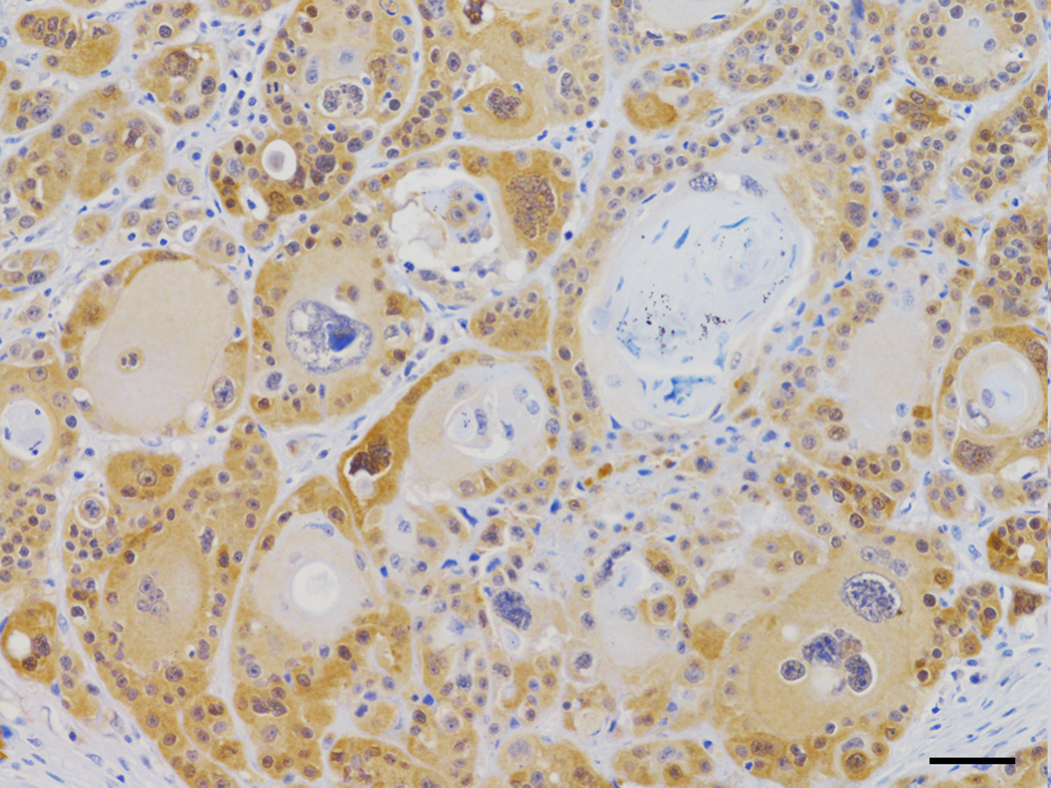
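Epithelial tumour cells lie in rounded nests and cords separated by thin bands of pale fibrous stroma with scattered spindle-shaped nuclei. At the nest edges the cells are small and crowded; toward the centres they become large with abundant cytoplasm, and several centres hold pale, amorphous or keratin-like material. Cell and nuclear sizes vary greatly, with some very large, dark, irregular nuclei.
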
